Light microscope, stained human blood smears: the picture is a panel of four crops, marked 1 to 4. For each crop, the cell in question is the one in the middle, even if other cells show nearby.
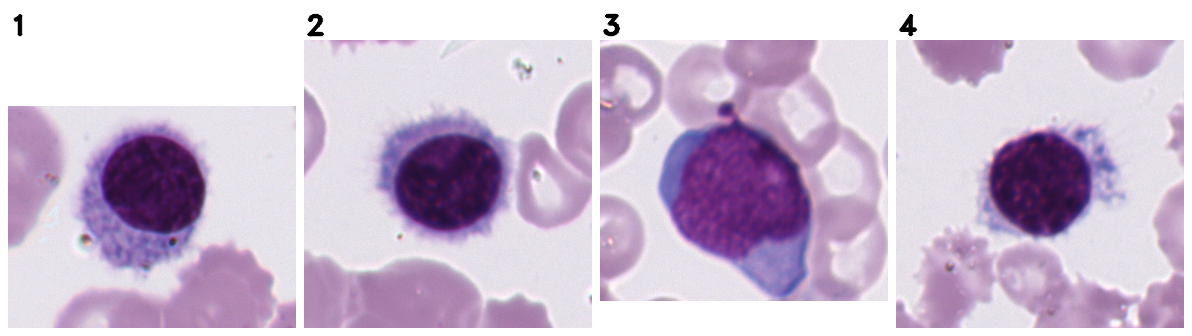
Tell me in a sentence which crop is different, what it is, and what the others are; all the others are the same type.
The pattern of hairy cells across the crops is broken only by crop 3, which shows a myeloblast.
